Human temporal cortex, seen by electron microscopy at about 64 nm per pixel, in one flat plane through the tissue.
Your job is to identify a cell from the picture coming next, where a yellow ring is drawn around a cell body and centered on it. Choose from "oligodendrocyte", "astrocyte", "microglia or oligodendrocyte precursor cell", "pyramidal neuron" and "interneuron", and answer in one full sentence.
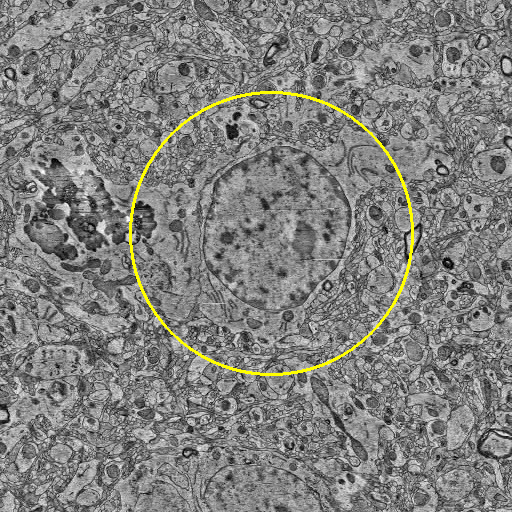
Centered in the yellow ring of the picture is the body of an astrocyte.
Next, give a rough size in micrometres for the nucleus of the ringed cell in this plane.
In this plane the nucleus spans approximately 11 by 9 micrometers.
